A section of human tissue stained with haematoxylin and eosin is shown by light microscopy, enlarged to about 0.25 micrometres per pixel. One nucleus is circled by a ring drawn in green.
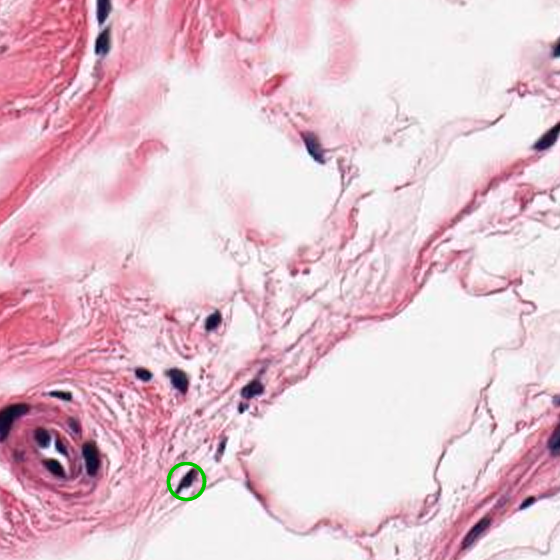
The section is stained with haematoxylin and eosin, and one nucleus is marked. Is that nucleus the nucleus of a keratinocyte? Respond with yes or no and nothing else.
no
